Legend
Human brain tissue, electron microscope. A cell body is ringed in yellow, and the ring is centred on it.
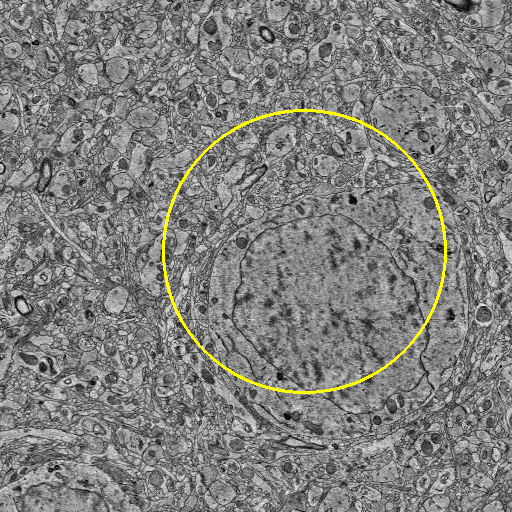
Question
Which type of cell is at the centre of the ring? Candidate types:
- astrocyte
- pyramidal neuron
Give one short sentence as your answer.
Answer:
The yellow ring is centred here on a pyramidal neuron.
